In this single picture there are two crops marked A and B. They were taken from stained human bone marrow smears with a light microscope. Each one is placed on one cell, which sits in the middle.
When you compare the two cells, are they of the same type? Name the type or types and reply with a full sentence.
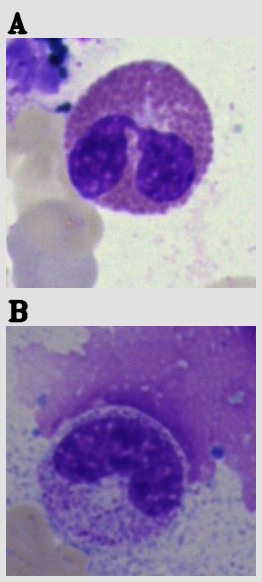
No, as for crop A, it shows an eosinophil, and crop B shows a band neutrophil.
